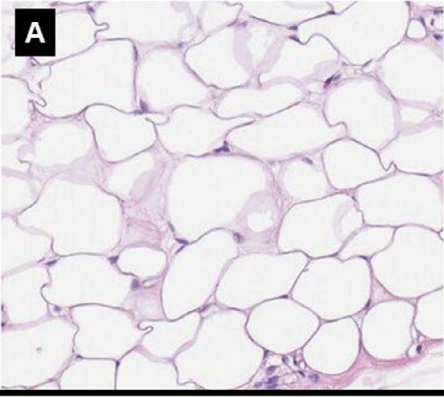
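Adipose tissue of closely packed large adipocytes, each a clear empty vacuole of polygonal outline bounded by a thin pink rim. Small flattened nuclei sit at the cell margins, and thin septa run between the cells.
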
